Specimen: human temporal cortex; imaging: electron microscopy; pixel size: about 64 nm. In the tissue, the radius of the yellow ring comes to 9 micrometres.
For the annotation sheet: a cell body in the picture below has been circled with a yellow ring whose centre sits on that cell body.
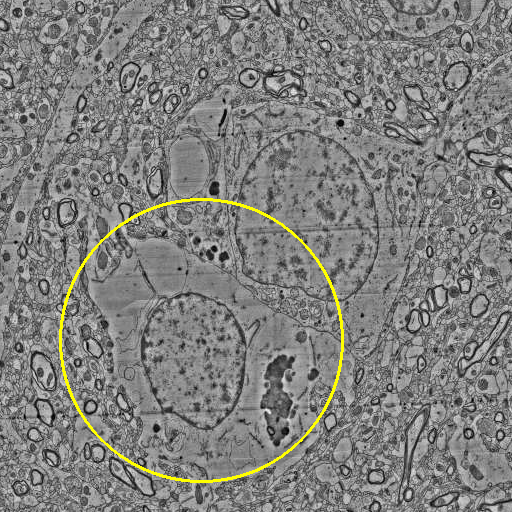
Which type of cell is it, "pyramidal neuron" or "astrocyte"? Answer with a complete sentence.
The circled cell is an astrocyte.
